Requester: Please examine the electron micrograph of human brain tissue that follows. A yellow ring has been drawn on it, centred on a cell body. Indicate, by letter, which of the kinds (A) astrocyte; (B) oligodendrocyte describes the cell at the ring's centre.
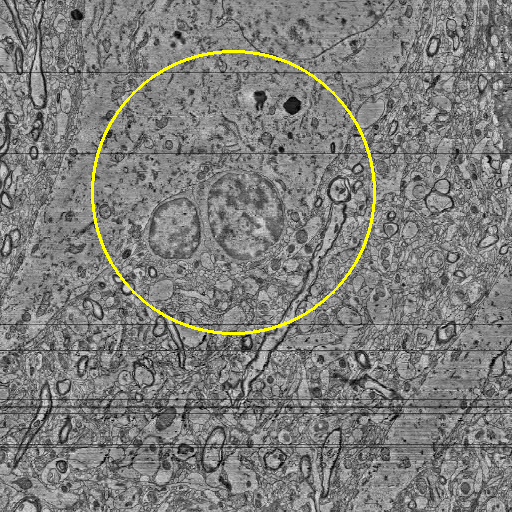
B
